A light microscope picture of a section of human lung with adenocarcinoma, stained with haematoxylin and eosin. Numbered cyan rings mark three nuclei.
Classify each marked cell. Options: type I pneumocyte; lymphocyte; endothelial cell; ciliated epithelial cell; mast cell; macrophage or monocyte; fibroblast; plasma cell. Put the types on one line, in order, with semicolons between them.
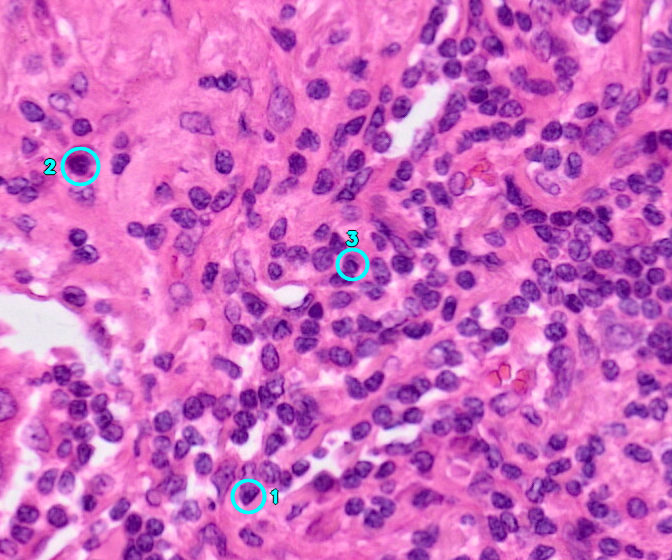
lymphocyte; plasma cell; lymphocyte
